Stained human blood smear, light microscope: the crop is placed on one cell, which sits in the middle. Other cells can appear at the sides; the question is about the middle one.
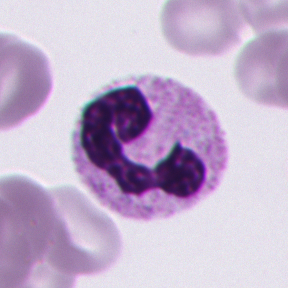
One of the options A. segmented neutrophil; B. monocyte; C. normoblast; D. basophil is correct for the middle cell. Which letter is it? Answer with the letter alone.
A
